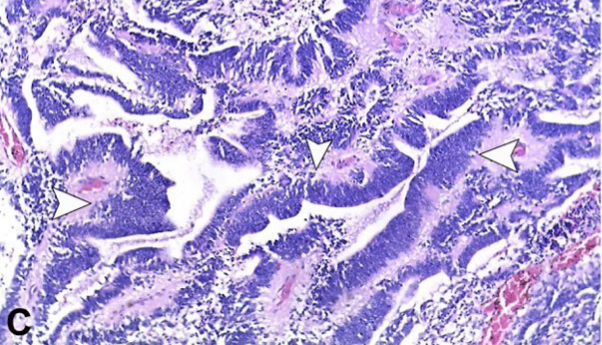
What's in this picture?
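This is a densely cellular tumor of primitive cells arranged in papillae and trabeculae. Broad, winding bands and finger-like folds are formed by crowded, multilayered cells with elongated, darkly purple nuclei and little cytoplasm, the nuclei often lined up perpendicular to the band surface. Several bands enclose pale pink central cores, some containing red blood cells. Narrow white clefts separate neighbouring bands. Distended blood vessels filled with red cells lie at the margins of the field.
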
